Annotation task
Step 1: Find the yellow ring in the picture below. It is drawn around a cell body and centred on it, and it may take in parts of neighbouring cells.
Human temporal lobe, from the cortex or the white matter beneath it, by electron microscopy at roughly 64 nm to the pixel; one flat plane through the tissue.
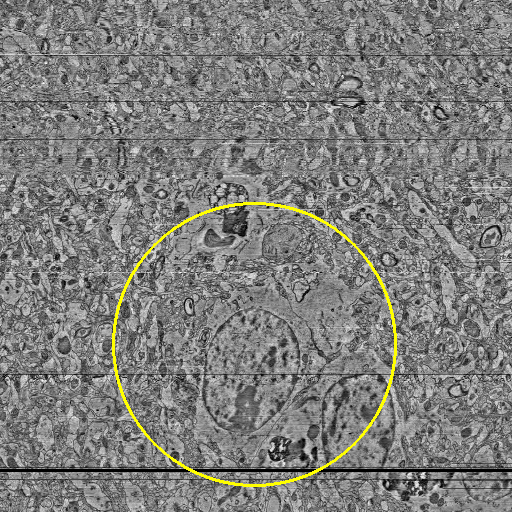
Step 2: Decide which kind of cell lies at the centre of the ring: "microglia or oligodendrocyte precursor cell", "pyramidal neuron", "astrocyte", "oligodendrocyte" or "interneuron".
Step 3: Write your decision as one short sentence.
The kind of cell at the ring's centre is an astrocyte.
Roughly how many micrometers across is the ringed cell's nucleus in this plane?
The ringed cell's nucleus measures approximately 8 by 6 micrometres in this plane.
